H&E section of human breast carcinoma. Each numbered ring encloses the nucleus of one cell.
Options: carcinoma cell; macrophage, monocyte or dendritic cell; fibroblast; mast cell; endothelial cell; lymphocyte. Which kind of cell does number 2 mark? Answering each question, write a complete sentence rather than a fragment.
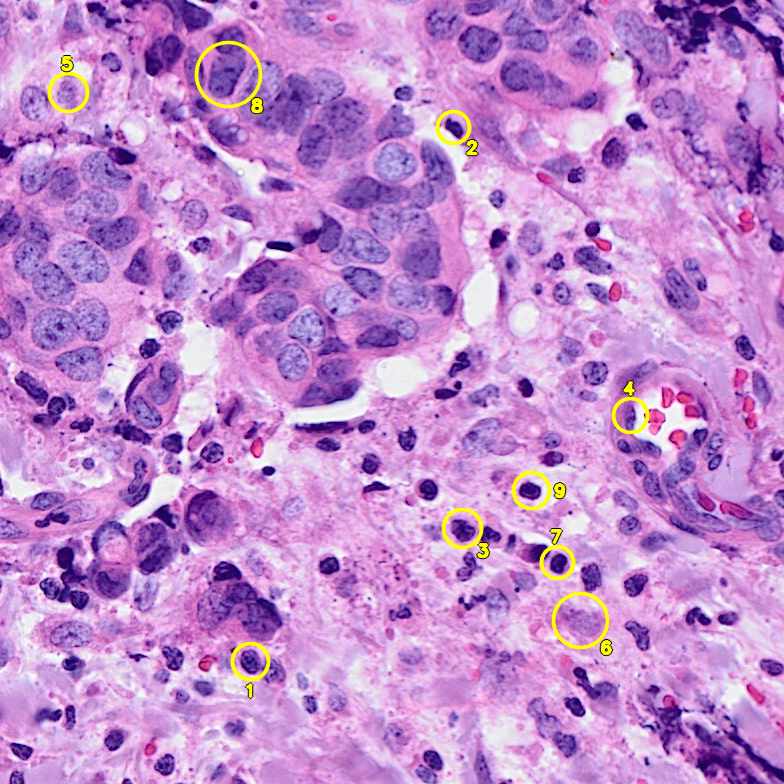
The cell referenced by the number 2 is a lymphocyte in this field.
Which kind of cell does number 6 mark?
Here, the cell given the number 6 is a fibroblast.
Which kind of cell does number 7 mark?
The cell pointed out by number 7 is a lymphocyte.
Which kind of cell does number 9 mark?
Regarding cell 9, this one is a lymphocyte.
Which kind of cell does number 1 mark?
In this section, number 1 marks a lymphocyte.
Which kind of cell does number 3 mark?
Cell 3 of the marked set is a lymphocyte.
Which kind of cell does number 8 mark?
Nucleus 8 in this section belongs to a carcinoma cell.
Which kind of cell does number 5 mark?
The cell identified by number 5 is a macrophage, monocyte or dendritic cell.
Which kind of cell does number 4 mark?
The numeral 4 marks an endothelial cell in this section.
